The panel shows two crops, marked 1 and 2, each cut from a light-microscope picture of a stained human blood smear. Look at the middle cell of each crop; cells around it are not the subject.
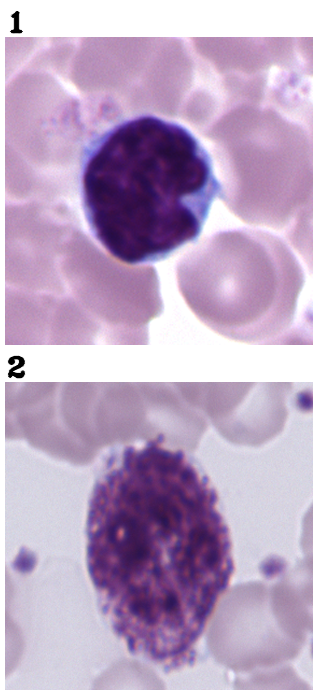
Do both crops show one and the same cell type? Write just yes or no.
no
